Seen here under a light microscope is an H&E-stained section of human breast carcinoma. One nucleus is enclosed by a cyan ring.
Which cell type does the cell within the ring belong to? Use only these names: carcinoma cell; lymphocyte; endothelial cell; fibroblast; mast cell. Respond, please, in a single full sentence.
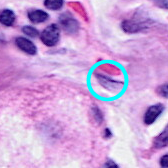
Just put down that the cell within the ring is an endothelial cell.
